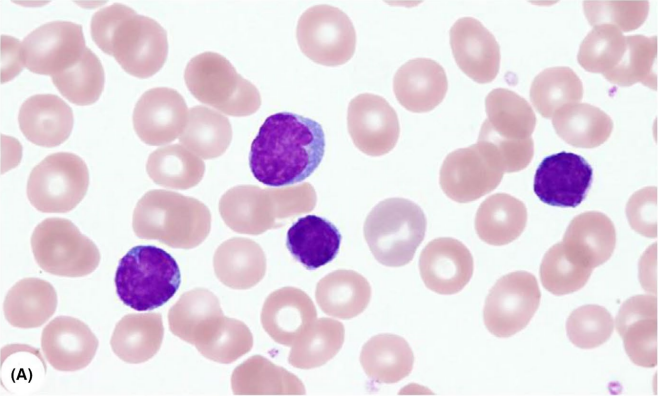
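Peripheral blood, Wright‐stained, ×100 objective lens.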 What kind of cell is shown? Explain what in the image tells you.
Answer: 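Leukemia cells. Small to medium lymphoid cells among red cells. Nuclei dark purple with condensed chromatin and irregular outlines. Scant blue cytoplasm.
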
